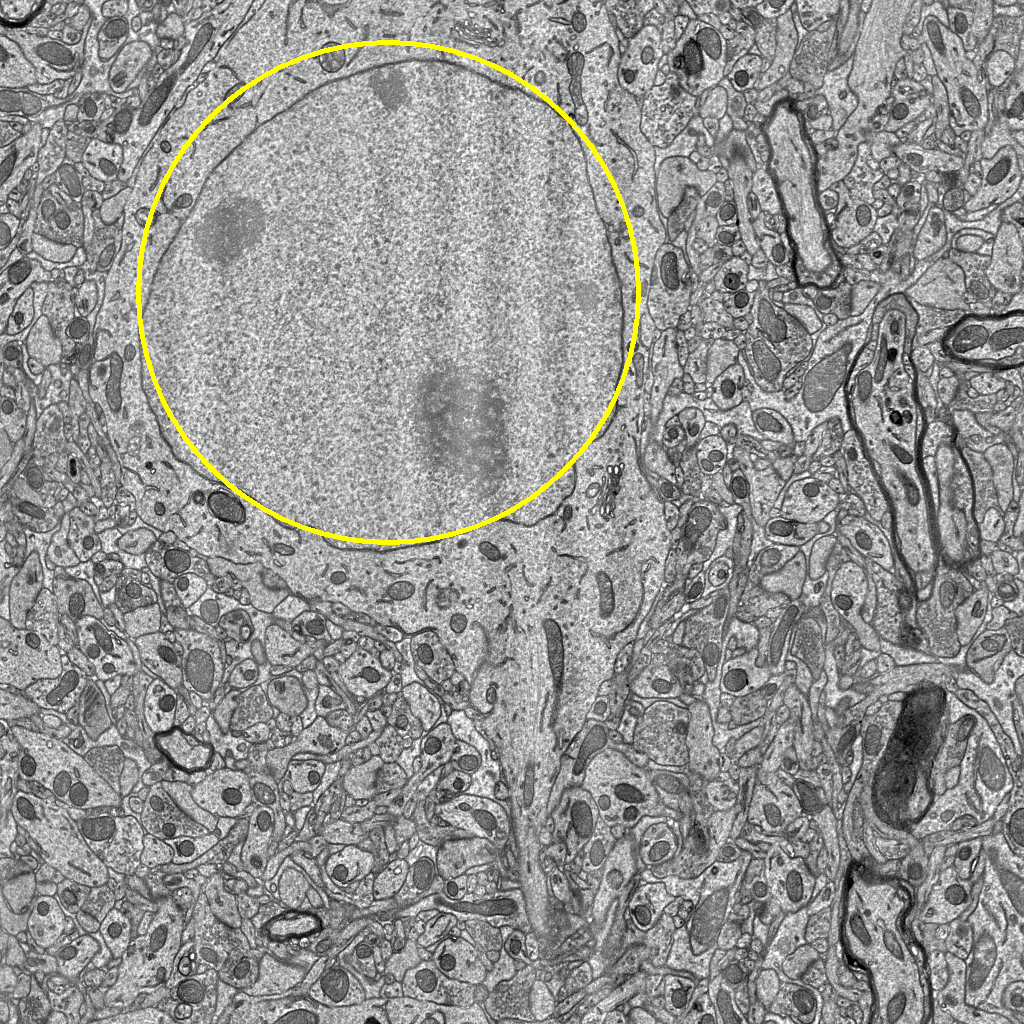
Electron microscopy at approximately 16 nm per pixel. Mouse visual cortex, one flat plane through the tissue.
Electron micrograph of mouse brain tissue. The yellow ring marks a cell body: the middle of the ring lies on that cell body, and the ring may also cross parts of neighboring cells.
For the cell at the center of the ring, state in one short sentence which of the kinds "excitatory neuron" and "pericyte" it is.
This ring's center lies on an excitatory neuron.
